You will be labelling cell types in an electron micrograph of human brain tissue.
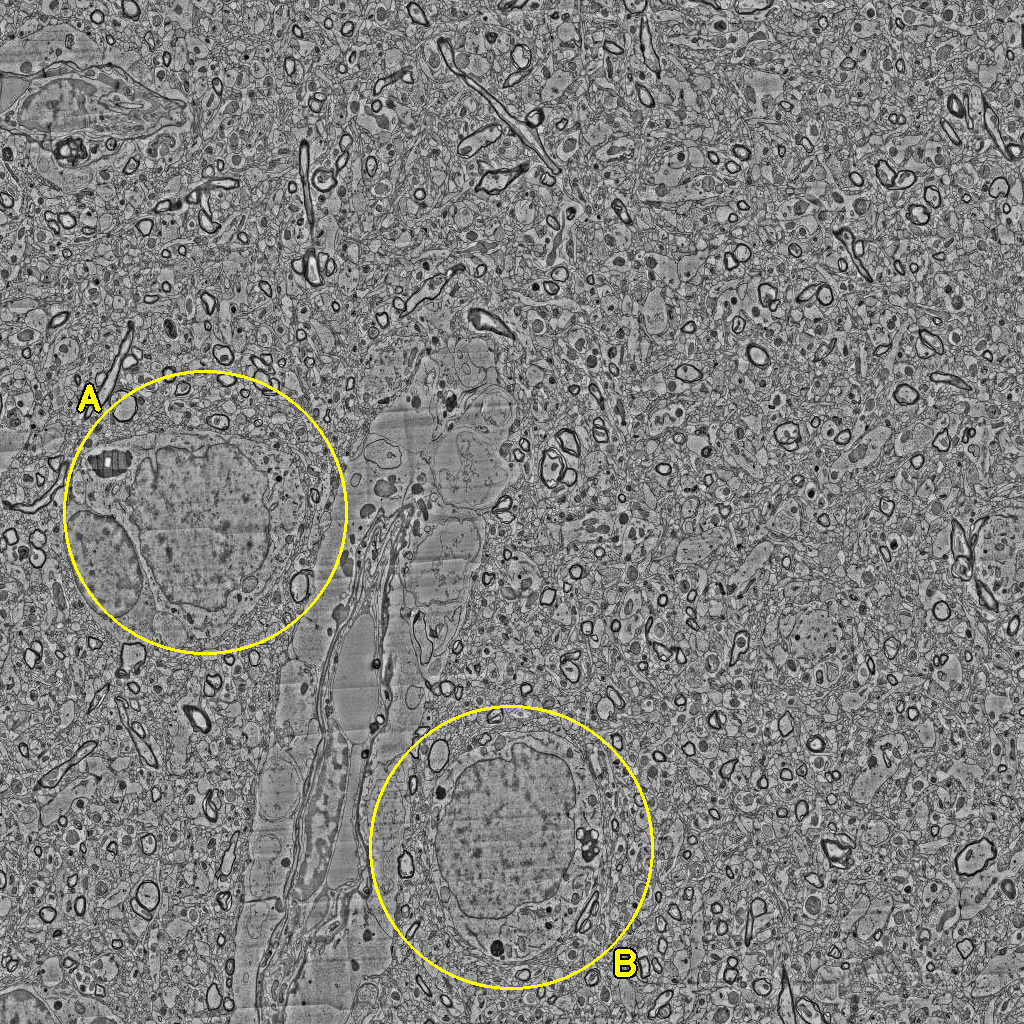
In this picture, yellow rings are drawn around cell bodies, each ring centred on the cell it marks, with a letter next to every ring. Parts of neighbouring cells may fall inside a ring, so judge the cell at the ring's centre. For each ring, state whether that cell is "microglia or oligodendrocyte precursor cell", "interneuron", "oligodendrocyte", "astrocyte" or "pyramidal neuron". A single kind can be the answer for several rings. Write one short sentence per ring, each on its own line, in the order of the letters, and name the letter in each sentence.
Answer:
Ring A contains an interneuron at its centre.
Ring B contains a pyramidal neuron at its centre.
